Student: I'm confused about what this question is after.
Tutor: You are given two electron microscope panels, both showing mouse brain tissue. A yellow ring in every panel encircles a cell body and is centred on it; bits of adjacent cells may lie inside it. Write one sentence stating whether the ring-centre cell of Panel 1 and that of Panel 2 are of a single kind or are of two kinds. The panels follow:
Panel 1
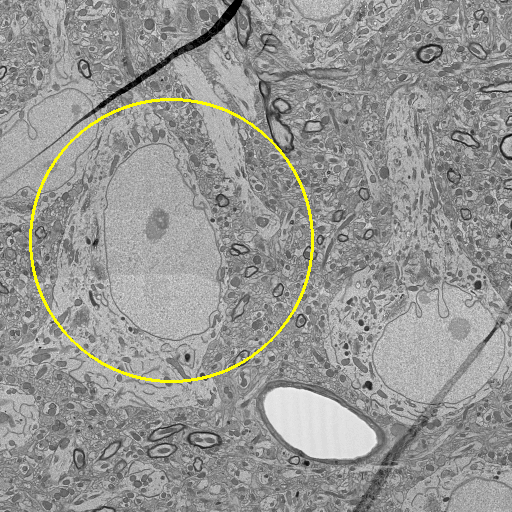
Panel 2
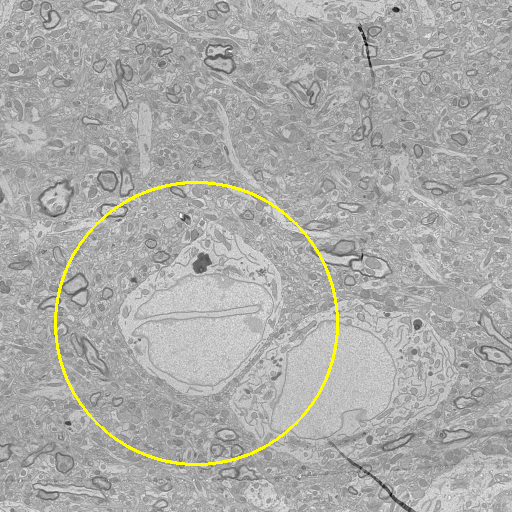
Here, the Panel 1 ring-centre cell and the Panel 2 ring-centre cell are of a single kind.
